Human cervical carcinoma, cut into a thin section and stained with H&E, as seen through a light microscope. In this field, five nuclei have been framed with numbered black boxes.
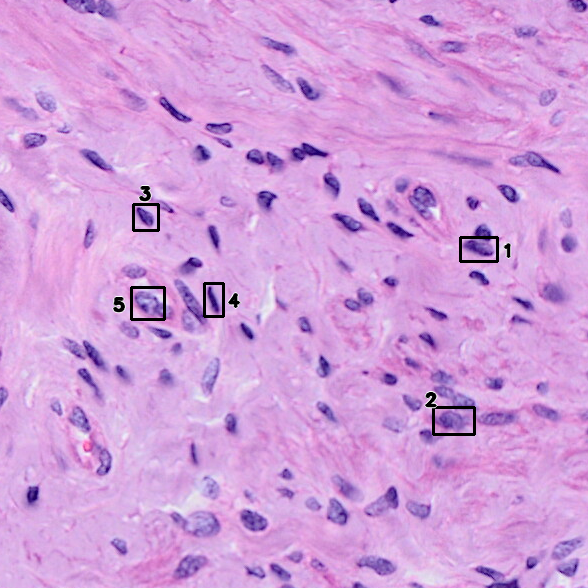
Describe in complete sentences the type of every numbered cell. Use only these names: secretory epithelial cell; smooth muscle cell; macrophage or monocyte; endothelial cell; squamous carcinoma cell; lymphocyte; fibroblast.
Cells 1, 3 and 4 are fibroblasts. Cell 2 is a smooth muscle cell. Cell 5 is an endothelial cell.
